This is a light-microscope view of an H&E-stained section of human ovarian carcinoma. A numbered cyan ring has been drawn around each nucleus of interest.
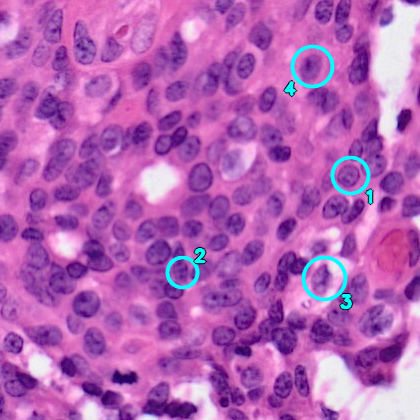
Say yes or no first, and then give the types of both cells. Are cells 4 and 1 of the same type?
Yes, cells 4 and 1 are two carcinoma cells.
